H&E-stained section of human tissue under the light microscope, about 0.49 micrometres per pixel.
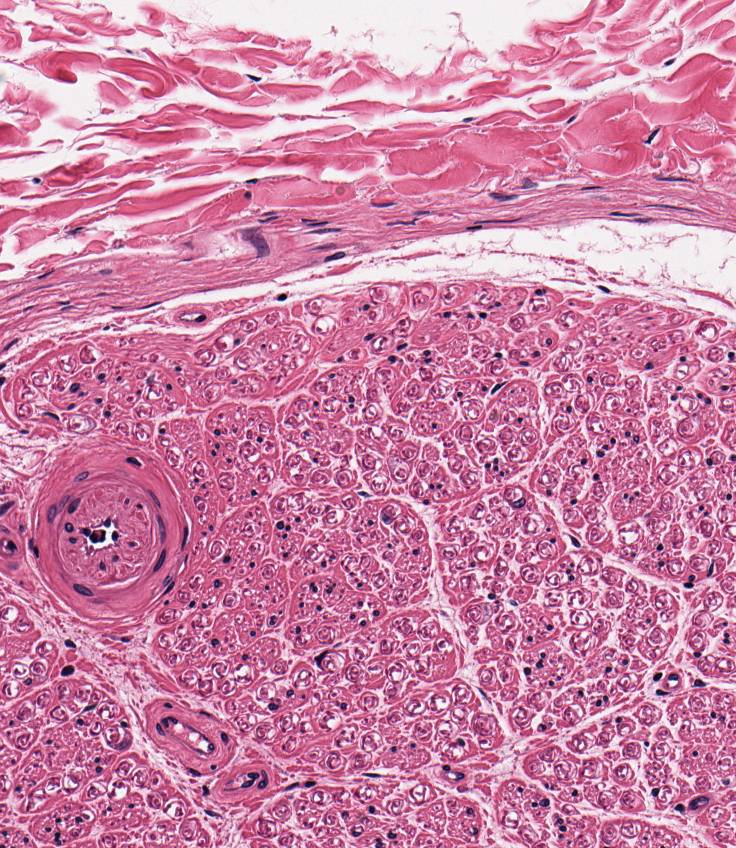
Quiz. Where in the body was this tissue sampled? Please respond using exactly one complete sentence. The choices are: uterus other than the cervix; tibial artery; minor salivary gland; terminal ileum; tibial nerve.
Tissue for this slide was taken from the tibial nerve.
